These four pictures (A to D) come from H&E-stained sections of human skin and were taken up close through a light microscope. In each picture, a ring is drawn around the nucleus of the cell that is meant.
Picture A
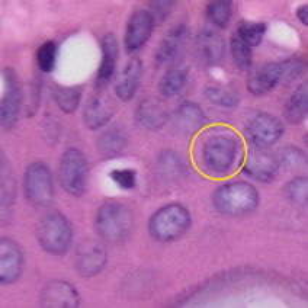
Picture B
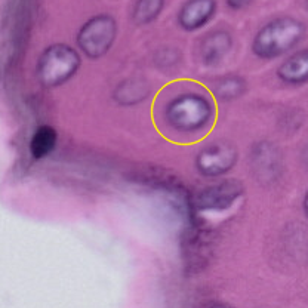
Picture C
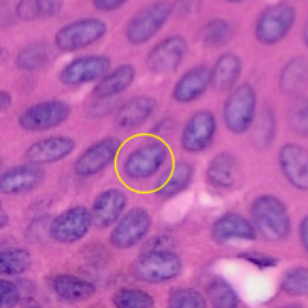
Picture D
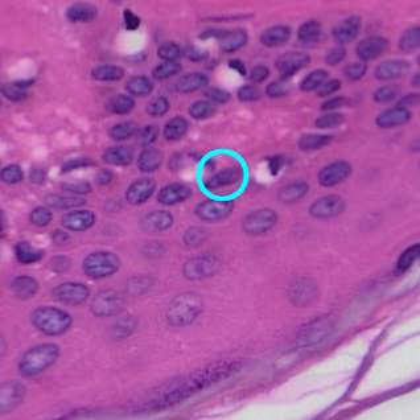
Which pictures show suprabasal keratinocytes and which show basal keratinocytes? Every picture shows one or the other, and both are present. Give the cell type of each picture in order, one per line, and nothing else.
suprabasal keratinocyte
suprabasal keratinocyte
suprabasal keratinocyte
basal keratinocyte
